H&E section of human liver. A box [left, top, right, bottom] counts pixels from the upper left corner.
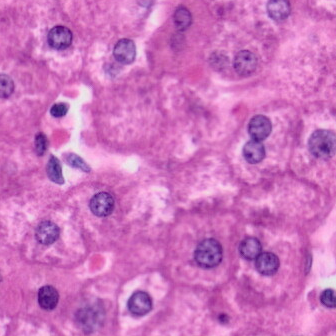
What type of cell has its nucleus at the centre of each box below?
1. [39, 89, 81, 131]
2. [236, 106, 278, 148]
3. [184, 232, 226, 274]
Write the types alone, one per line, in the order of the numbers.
lymphocyte
hepatocyte
hepatocyte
